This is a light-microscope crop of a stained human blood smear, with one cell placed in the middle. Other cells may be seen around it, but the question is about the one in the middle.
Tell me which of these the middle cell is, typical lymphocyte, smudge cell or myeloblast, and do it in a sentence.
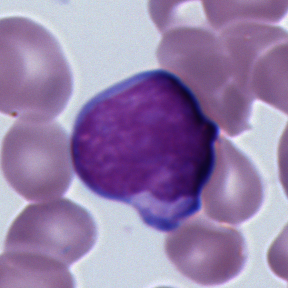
Here the centrally located cell is a myeloblast.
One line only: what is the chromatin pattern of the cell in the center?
Coarse clumps are absent, and the chromatin is fine throughout.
